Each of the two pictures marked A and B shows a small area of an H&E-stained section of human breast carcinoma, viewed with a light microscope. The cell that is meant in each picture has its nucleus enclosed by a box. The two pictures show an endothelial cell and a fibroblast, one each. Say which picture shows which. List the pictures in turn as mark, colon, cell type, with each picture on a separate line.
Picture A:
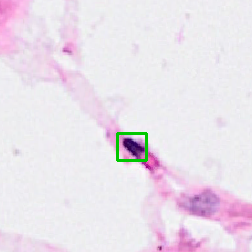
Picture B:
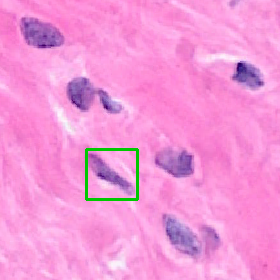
A: endothelial cell
B: fibroblast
